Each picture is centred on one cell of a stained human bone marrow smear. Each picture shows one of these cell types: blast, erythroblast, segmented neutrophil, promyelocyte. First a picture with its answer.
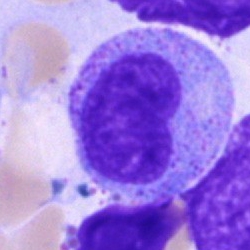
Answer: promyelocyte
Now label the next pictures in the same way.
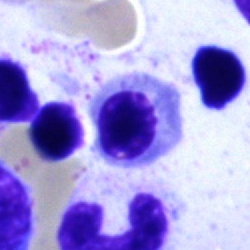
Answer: erythroblast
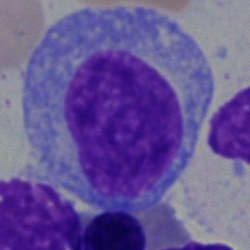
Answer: blast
